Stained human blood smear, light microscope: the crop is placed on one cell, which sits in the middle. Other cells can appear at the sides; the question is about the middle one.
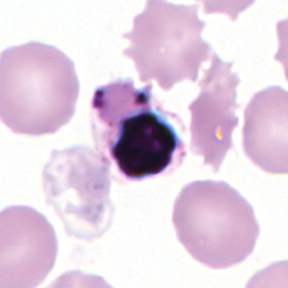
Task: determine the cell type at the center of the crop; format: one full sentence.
The central cell shown in this smear crop is an erythroblast.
